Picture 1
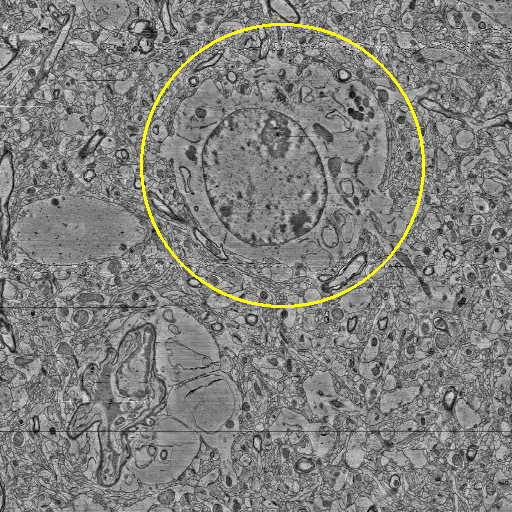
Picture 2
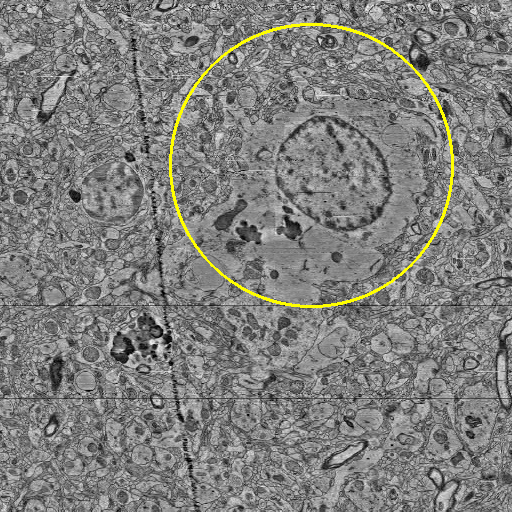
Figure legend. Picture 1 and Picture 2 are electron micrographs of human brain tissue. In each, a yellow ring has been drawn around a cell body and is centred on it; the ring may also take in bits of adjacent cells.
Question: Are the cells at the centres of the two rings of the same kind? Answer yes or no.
yes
